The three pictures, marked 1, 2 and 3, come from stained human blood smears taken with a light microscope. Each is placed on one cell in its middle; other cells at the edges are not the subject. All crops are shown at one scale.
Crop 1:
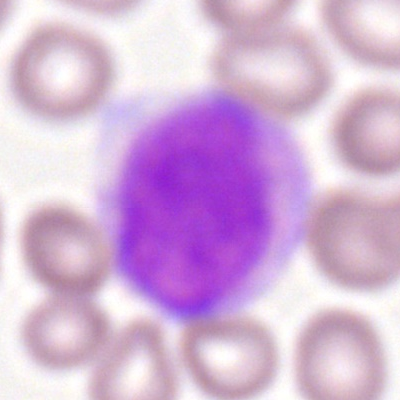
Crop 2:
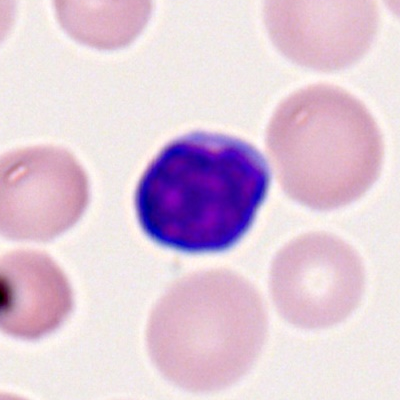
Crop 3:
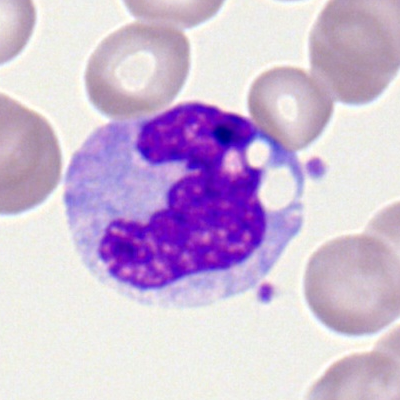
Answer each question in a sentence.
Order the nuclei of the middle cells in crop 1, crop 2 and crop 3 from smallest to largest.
Going up, they run 2, 3, 1.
